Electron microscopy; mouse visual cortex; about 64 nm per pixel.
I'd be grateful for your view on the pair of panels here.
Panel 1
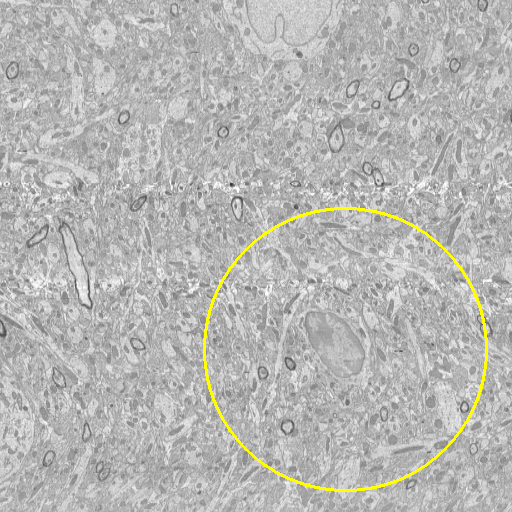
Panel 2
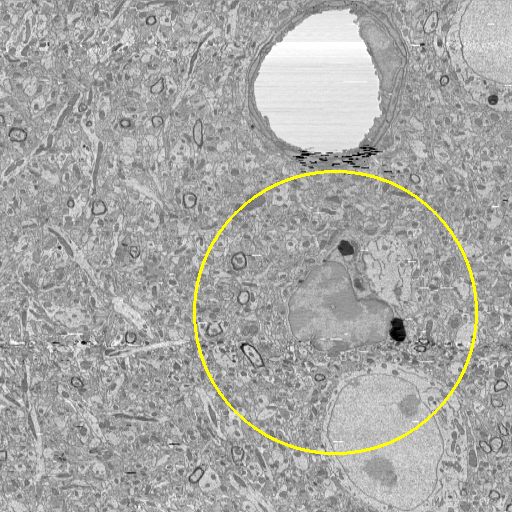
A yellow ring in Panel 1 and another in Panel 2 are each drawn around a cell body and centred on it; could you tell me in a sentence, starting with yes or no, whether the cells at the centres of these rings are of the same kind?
Yes, they are the same kind of cell.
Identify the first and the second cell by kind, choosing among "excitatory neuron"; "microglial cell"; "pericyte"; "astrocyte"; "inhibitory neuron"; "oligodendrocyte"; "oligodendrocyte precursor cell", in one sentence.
In both pictures the ring is centred on a microglial cell.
